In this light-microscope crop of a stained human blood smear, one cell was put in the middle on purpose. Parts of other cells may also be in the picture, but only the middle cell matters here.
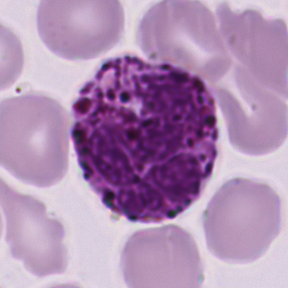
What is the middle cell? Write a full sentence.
The cell at the heart of this crop is a basophil.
